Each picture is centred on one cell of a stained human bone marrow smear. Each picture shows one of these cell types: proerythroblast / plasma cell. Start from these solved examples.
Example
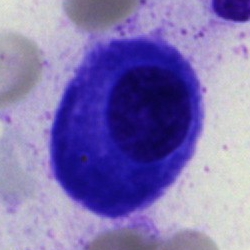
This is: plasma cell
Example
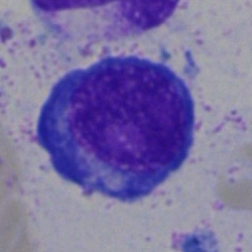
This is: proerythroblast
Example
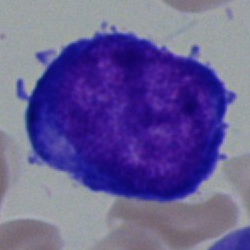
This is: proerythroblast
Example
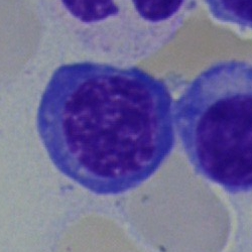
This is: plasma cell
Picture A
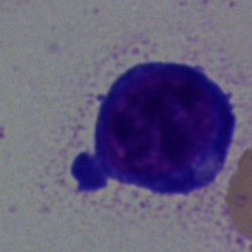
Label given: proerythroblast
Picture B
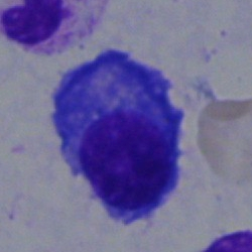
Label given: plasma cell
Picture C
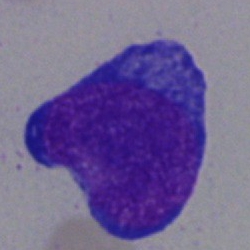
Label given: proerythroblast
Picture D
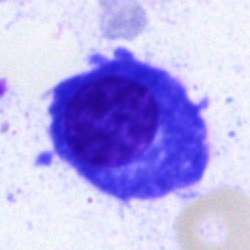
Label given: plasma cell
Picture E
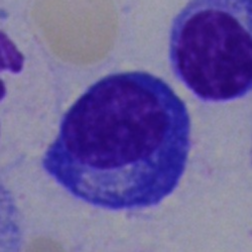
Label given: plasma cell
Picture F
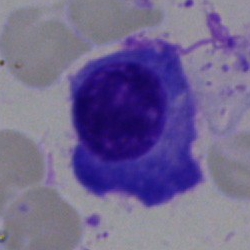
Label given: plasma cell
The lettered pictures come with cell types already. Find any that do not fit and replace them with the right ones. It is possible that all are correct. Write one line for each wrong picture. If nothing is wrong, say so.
Every label is right.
